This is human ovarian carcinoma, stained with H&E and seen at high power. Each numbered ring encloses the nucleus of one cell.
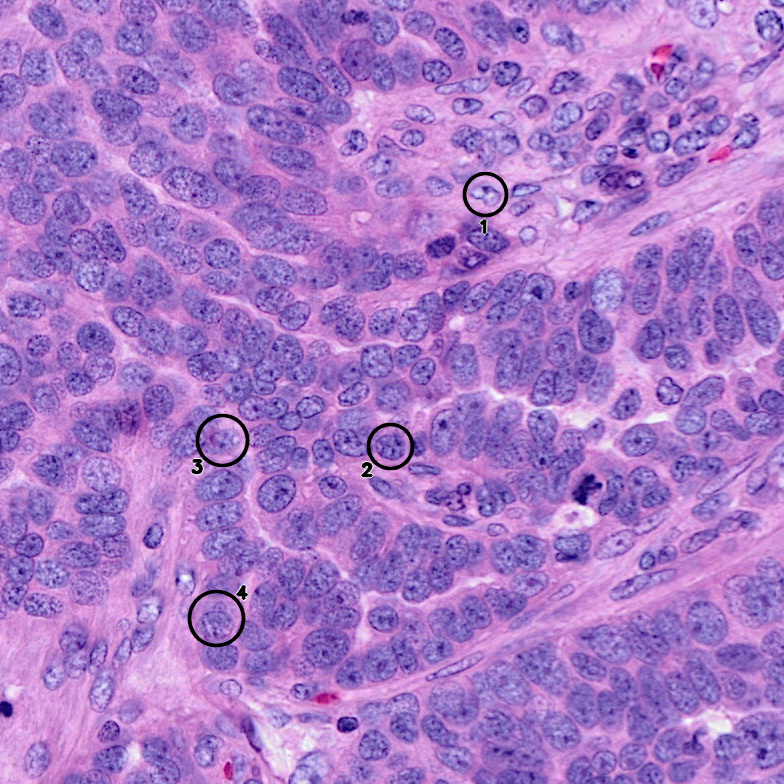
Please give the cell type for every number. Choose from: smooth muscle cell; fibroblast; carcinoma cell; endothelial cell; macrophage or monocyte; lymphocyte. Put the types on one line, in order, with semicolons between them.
fibroblast; carcinoma cell; carcinoma cell; carcinoma cell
